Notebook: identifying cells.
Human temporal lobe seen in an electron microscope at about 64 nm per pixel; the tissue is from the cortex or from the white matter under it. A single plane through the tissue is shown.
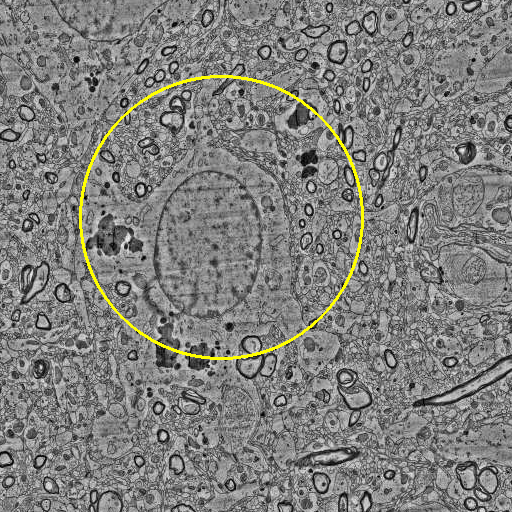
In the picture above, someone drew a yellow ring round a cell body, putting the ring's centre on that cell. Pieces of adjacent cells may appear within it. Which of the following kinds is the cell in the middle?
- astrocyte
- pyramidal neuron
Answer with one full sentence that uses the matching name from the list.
In this picture, the yellow ring is centred on the body of an astrocyte.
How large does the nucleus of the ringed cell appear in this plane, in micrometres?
The nucleus works out at approximately 9 by 7 micrometres in this plane.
